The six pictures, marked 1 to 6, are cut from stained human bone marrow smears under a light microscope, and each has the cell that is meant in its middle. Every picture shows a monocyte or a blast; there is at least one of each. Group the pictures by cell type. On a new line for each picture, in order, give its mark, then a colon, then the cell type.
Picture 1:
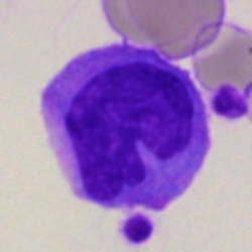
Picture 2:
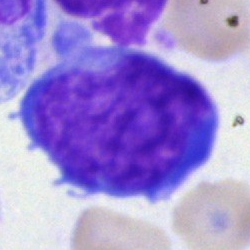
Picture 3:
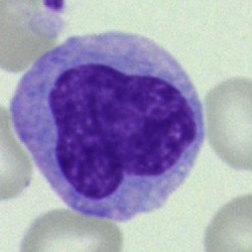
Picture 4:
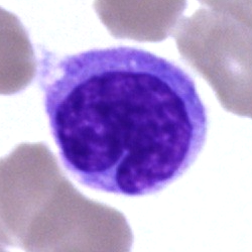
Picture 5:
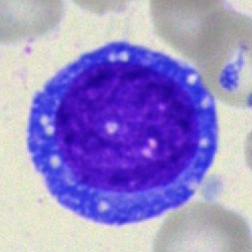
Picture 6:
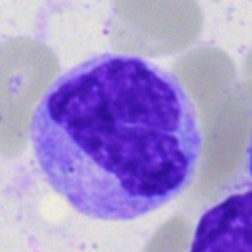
1: monocyte
2: blast
3: monocyte
4: monocyte
5: blast
6: monocyte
